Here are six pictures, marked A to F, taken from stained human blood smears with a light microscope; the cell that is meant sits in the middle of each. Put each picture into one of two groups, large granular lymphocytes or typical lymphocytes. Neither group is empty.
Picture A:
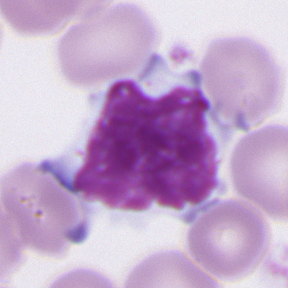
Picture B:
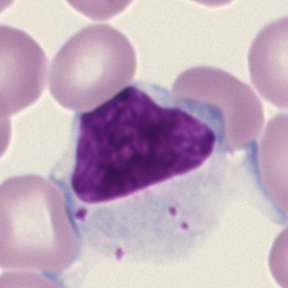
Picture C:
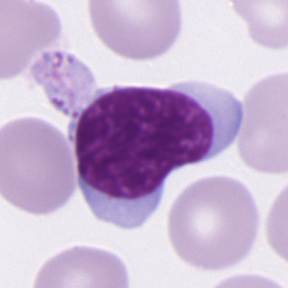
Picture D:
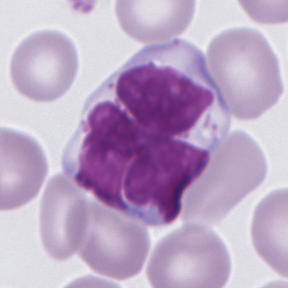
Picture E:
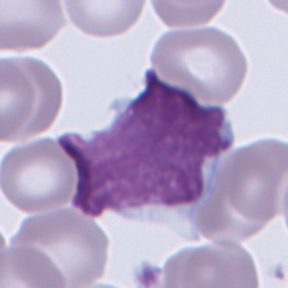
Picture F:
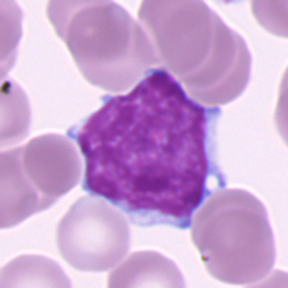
A: typical lymphocyte
B: large granular lymphocyte
C: large granular lymphocyte
D: large granular lymphocyte
E: typical lymphocyte
F: typical lymphocyte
